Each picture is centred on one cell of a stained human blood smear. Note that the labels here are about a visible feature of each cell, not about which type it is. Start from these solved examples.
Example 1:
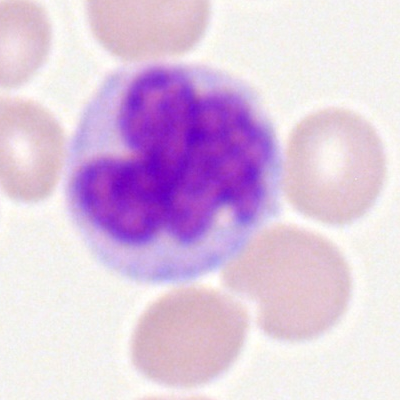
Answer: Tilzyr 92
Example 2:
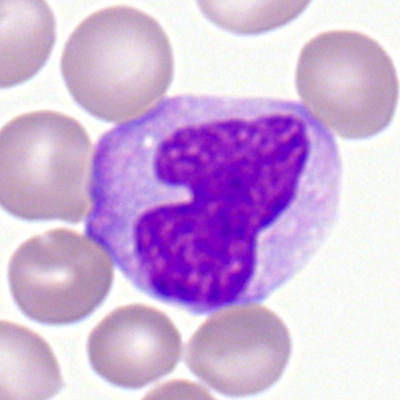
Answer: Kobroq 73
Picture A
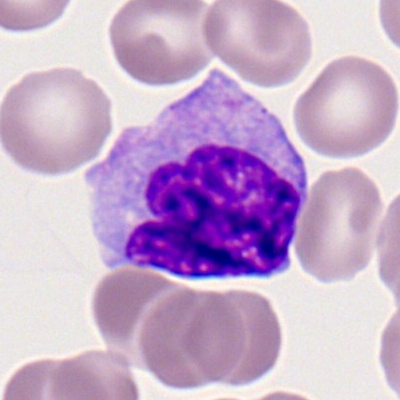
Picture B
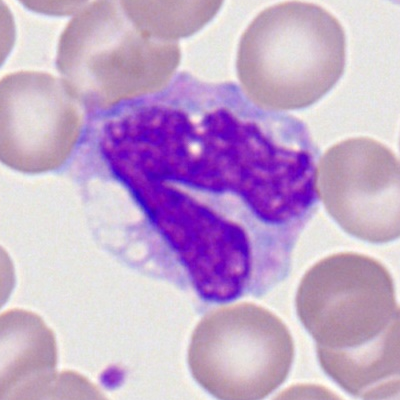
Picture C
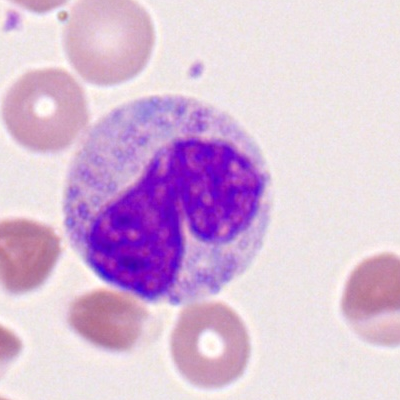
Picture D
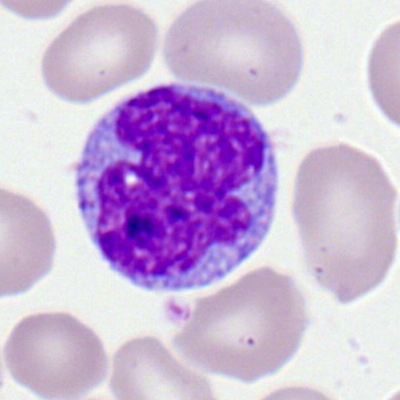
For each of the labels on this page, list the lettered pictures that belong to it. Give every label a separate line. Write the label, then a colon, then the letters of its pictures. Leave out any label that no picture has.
Tilzyr 92: D
Kobroq 73: A, B, C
